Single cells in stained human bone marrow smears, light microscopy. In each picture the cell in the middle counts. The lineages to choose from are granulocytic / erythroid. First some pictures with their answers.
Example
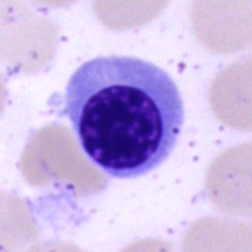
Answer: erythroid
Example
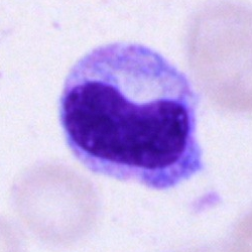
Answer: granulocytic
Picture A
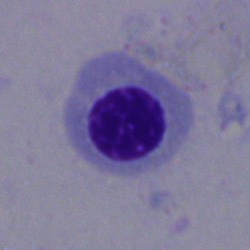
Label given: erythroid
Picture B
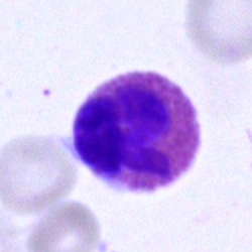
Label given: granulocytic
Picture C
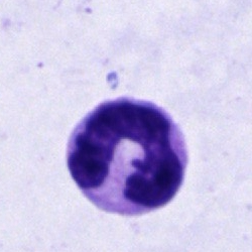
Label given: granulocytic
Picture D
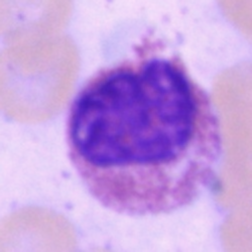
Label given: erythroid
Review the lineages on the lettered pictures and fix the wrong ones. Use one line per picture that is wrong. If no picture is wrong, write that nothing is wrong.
D: granulocytic, not erythroid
